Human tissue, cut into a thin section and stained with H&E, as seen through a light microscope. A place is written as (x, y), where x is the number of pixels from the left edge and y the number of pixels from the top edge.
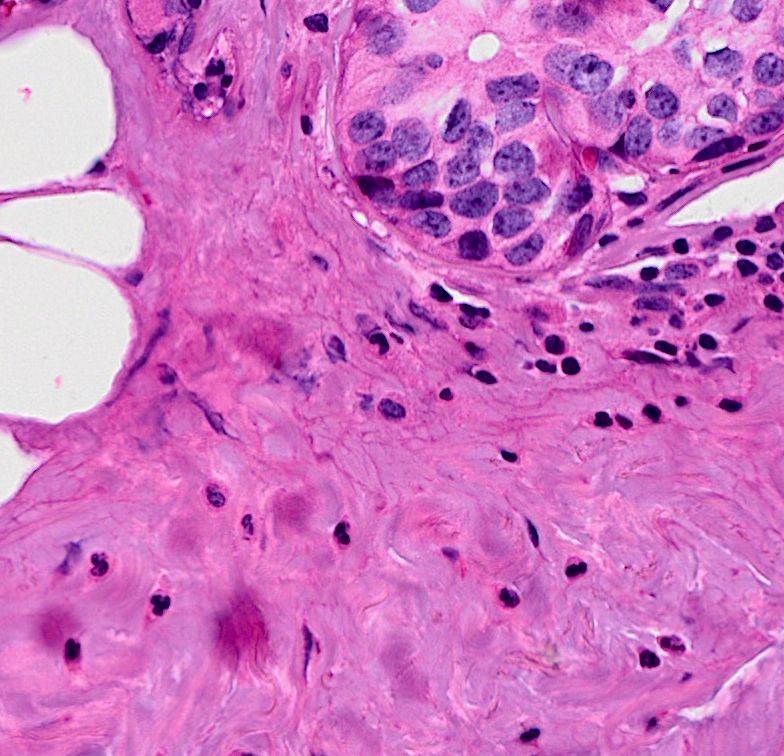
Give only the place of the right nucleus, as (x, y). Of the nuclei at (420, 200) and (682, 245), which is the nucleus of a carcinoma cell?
(420, 200)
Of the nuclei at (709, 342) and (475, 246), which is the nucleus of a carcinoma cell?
(475, 246)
